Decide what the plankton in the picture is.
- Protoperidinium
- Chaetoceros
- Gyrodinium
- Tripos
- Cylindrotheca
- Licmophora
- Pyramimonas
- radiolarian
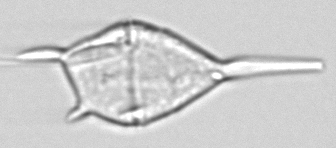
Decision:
Tripos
